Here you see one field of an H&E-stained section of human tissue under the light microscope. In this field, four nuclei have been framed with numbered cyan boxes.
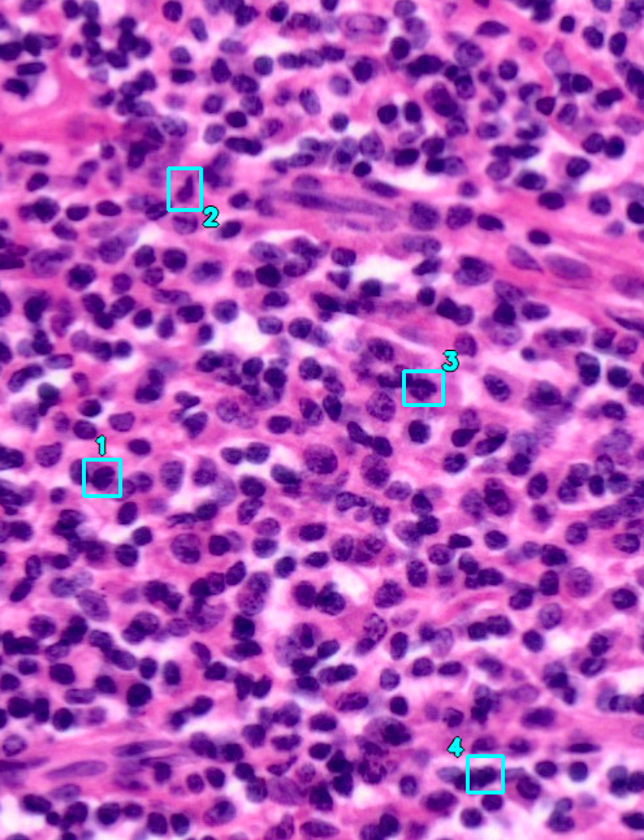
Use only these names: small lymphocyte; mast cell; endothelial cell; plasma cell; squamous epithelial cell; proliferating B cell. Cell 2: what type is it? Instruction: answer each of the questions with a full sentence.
The cell referred to as 2 is an endothelial cell.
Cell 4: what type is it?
The mark numbered 4 indicates the nucleus of a small lymphocyte.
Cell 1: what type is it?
Looking at the numbered marks, cell 1 is a plasma cell.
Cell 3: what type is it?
Cell 3 should be recorded as a plasma cell.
